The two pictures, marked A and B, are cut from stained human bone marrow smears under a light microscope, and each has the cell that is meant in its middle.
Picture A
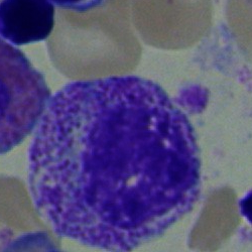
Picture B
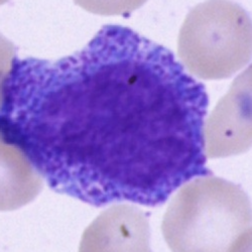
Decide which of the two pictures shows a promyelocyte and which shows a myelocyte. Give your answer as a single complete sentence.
The cell in picture A is a myelocyte, and the one in picture B is a promyelocyte.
